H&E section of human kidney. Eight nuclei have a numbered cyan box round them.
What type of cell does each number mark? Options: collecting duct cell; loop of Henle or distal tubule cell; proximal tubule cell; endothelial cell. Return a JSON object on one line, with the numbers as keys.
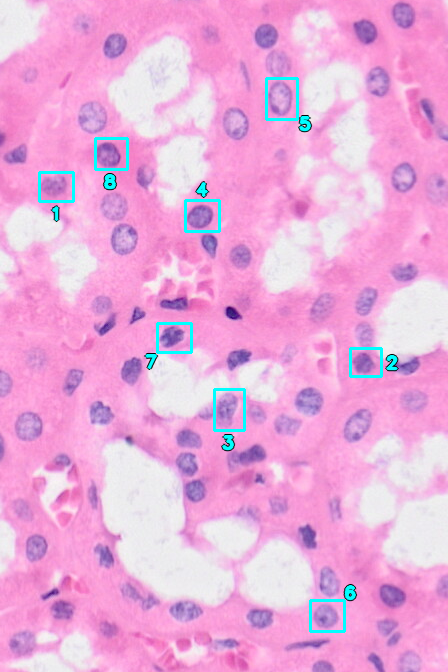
{"1": "proximal tubule cell", "2": "loop of Henle or distal tubule cell", "3": "loop of Henle or distal tubule cell", "4": "proximal tubule cell", "5": "proximal tubule cell", "6": "loop of Henle or distal tubule cell", "7": "loop of Henle or distal tubule cell", "8": "proximal tubule cell"}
